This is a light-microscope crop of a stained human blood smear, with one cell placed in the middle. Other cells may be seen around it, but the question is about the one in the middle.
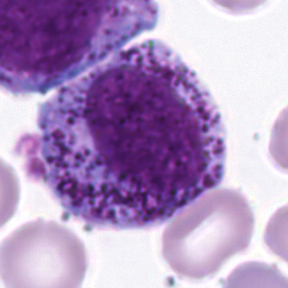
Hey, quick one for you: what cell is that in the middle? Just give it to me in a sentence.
The crop centres on a single cell, and that cell is a myelocyte.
